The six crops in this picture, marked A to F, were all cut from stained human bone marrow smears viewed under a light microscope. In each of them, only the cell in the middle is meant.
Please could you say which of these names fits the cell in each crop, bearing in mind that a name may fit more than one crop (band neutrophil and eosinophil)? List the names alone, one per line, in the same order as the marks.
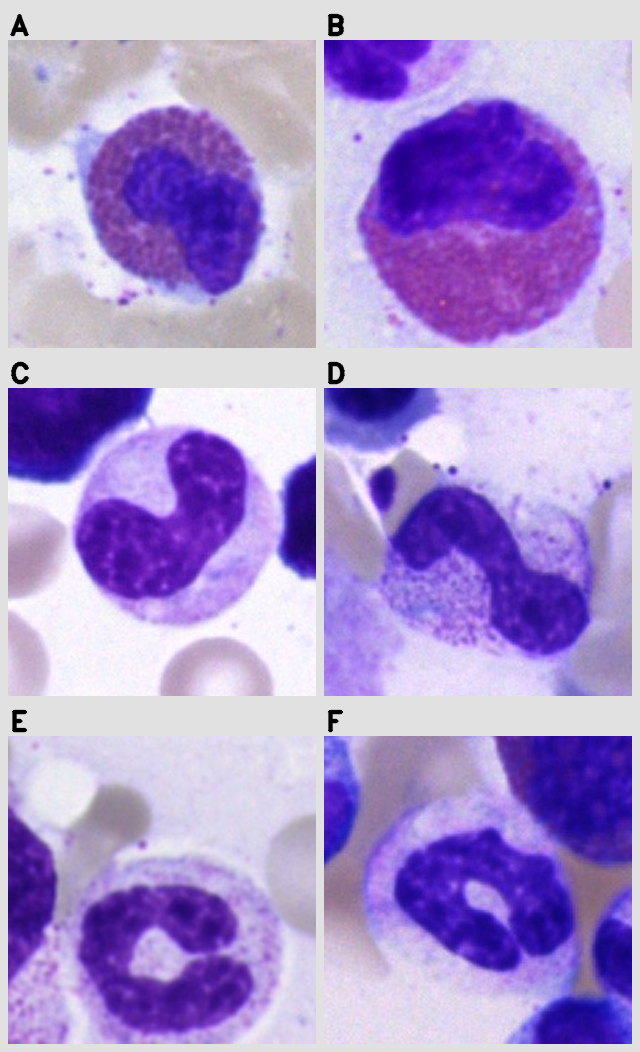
eosinophil
eosinophil
band neutrophil
band neutrophil
band neutrophil
band neutrophil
